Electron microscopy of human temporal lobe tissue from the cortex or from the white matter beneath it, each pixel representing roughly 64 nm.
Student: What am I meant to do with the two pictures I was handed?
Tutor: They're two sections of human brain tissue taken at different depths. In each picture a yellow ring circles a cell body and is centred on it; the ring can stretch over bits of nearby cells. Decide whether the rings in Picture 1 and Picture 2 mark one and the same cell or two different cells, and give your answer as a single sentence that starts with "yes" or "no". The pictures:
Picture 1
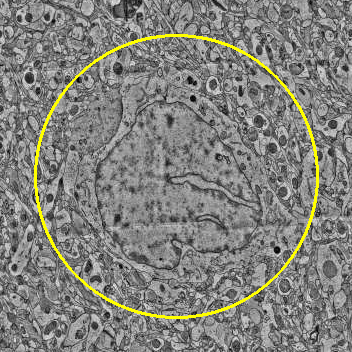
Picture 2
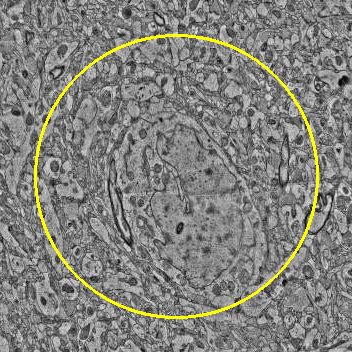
No, the marked cells are two, not one.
